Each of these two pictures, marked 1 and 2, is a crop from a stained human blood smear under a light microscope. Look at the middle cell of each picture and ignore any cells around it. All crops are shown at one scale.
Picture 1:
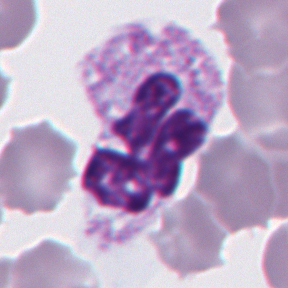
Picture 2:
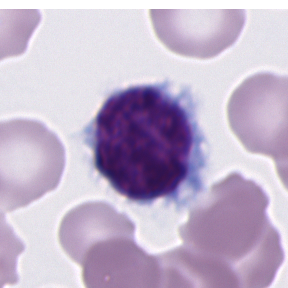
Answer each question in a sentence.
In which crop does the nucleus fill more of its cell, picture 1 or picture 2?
In picture 2 the nucleus takes up the larger part of its cell.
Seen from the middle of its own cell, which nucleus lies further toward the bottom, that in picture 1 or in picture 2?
In picture 1 the nucleus is shifted more toward the bottom.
